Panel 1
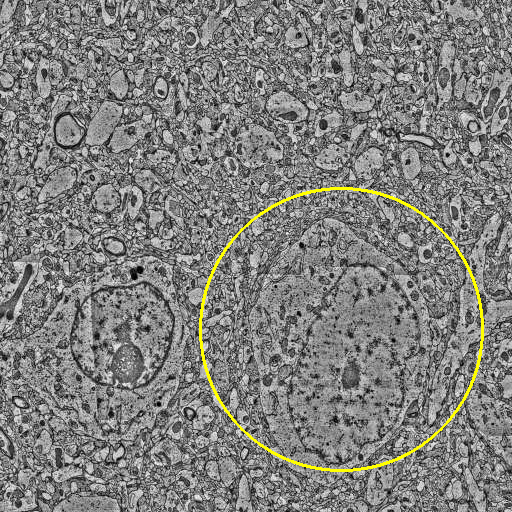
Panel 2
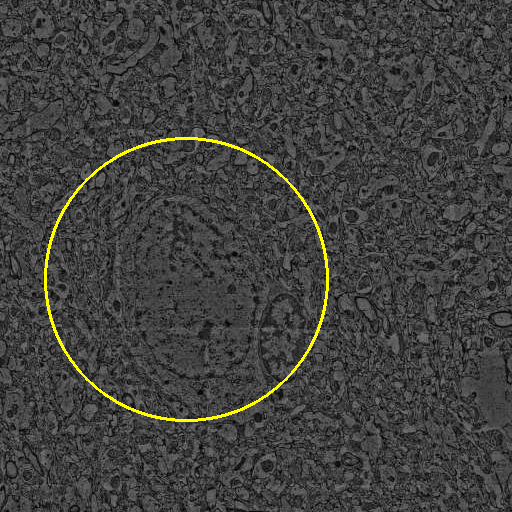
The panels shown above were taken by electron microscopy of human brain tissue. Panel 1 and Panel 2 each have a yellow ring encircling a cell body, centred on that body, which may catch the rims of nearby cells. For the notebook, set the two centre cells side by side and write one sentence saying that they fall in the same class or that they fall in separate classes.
The centred cells of Panel 1 and Panel 2 fall in the same class.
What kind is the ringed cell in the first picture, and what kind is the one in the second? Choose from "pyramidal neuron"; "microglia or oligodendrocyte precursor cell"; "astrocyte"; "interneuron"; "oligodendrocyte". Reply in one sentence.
In each picture the ringed cell is an interneuron.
